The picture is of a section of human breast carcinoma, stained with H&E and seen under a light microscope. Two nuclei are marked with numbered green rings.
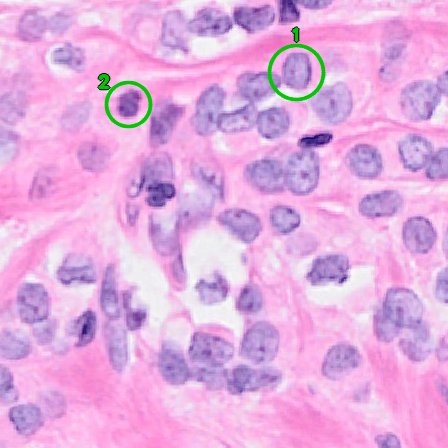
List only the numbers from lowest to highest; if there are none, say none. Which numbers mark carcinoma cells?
1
